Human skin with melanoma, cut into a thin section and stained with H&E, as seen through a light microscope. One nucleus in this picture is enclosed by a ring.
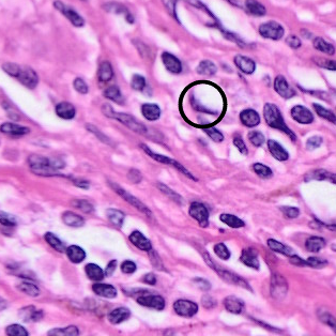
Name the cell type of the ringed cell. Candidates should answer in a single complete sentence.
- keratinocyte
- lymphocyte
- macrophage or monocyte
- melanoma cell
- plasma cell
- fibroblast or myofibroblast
With respect to cell type, the ringed cell is a fibroblast or myofibroblast.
